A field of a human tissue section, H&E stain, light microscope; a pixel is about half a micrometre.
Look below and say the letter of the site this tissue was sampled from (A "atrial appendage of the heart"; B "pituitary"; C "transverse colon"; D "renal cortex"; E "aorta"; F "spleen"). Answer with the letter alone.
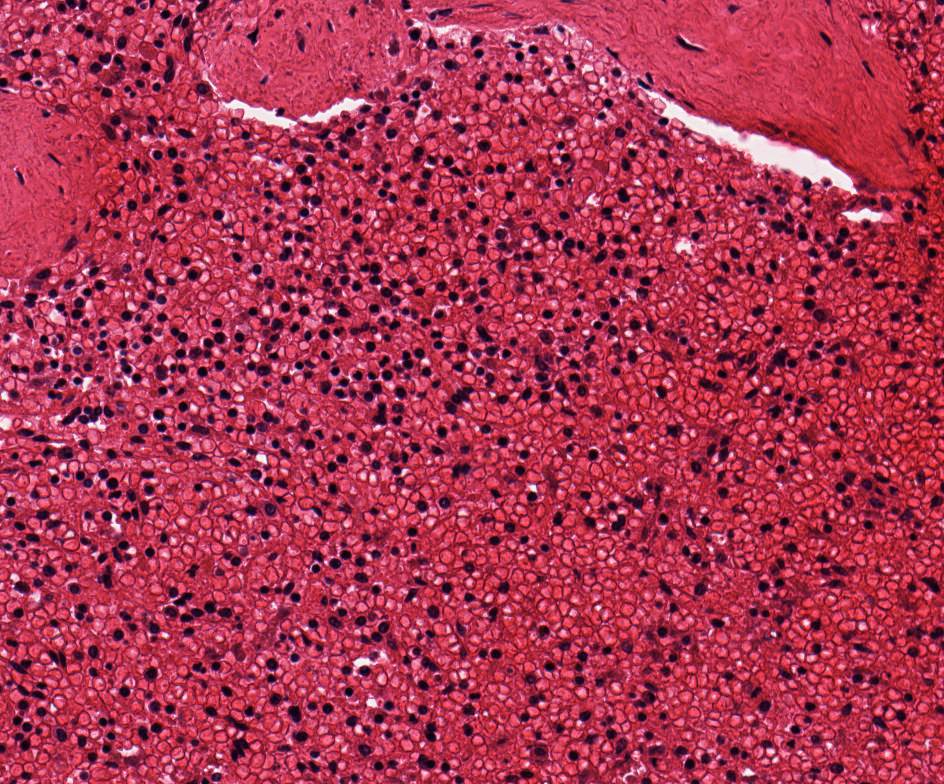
F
